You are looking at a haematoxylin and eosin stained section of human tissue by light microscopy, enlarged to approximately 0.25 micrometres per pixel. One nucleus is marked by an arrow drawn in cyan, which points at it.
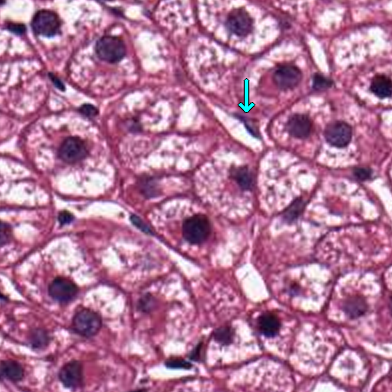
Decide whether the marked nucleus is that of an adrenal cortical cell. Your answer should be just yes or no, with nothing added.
no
